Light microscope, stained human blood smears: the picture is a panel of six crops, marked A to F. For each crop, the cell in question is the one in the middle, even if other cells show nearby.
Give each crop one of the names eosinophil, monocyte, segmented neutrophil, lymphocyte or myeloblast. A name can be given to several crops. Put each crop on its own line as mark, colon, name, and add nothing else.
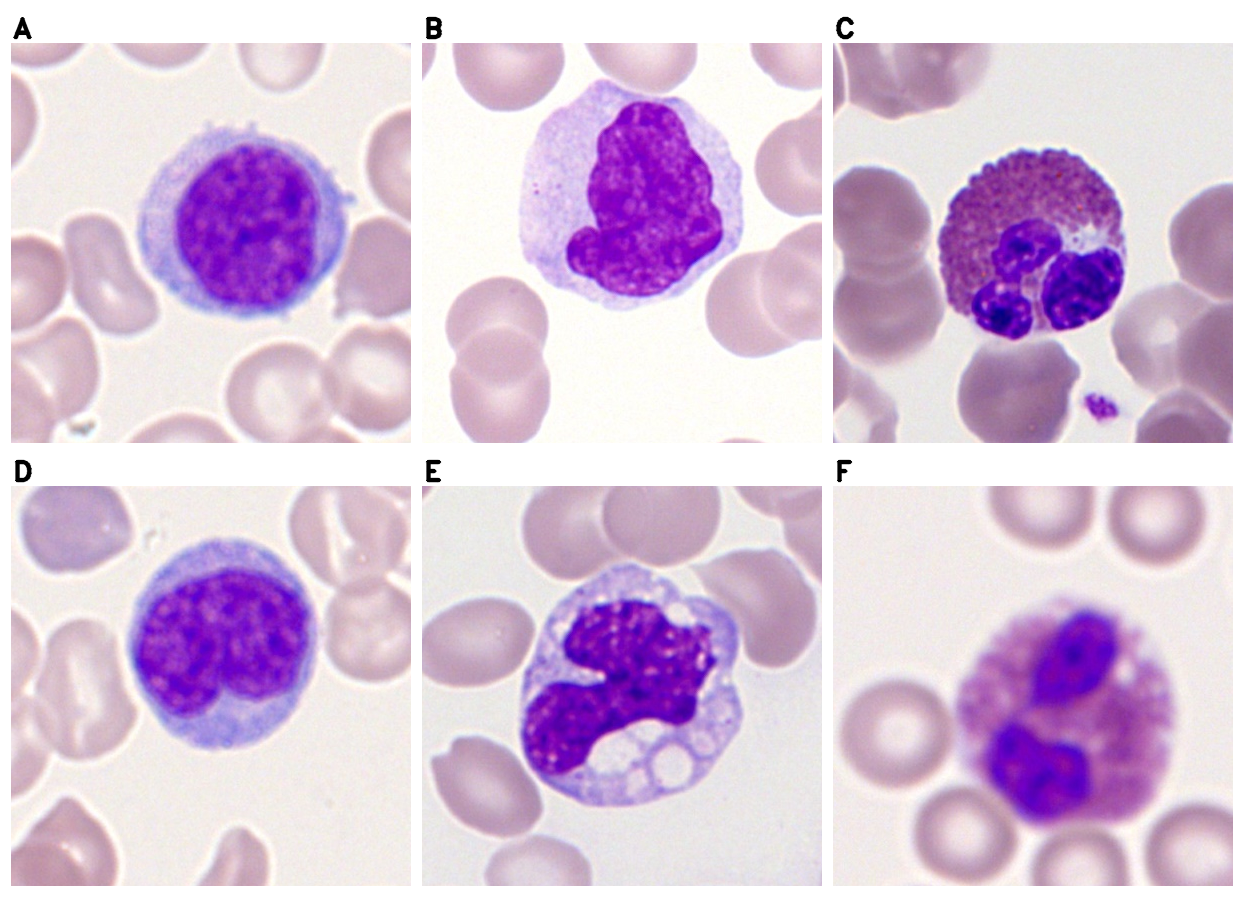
A: monocyte
B: monocyte
C: eosinophil
D: monocyte
E: monocyte
F: eosinophil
